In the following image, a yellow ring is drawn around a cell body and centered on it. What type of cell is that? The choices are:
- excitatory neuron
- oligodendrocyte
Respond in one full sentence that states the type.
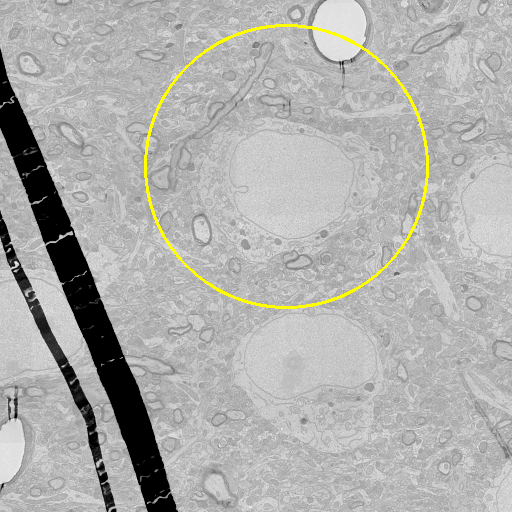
The cell at the center of the yellow ring in the image is an excitatory neuron.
